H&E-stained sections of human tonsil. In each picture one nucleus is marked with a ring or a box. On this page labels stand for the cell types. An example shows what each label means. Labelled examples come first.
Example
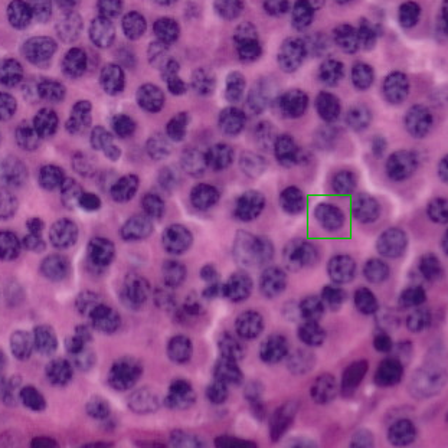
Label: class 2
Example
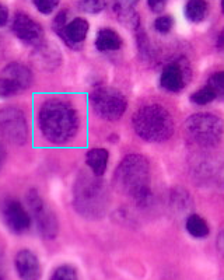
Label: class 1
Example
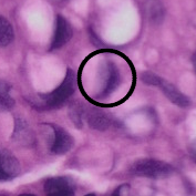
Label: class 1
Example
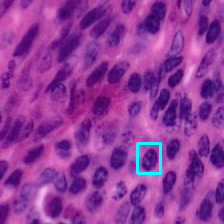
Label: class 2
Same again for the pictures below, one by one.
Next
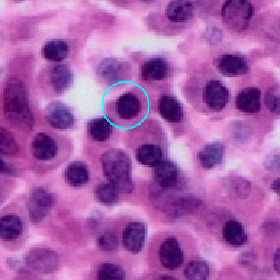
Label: class 2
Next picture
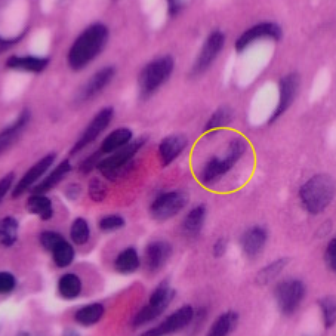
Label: class 1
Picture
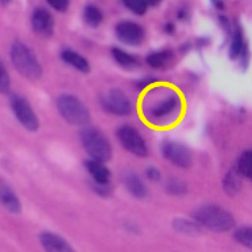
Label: class 1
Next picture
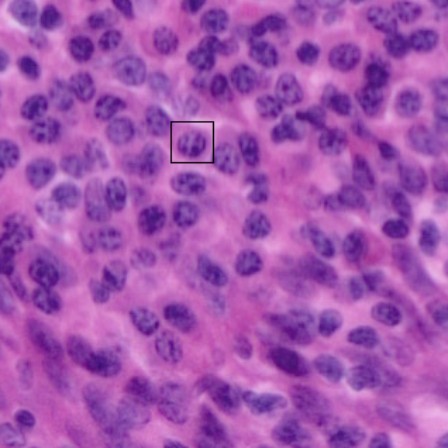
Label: class 2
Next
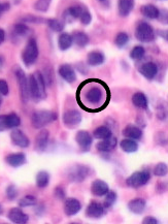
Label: class 2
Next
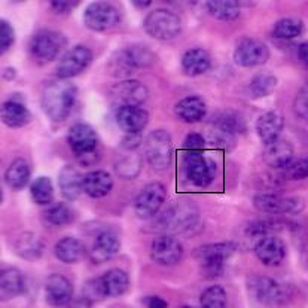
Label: class 2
